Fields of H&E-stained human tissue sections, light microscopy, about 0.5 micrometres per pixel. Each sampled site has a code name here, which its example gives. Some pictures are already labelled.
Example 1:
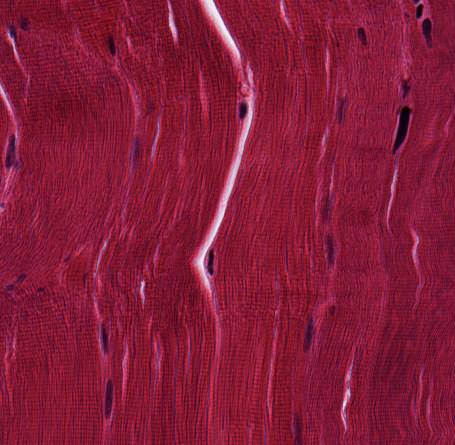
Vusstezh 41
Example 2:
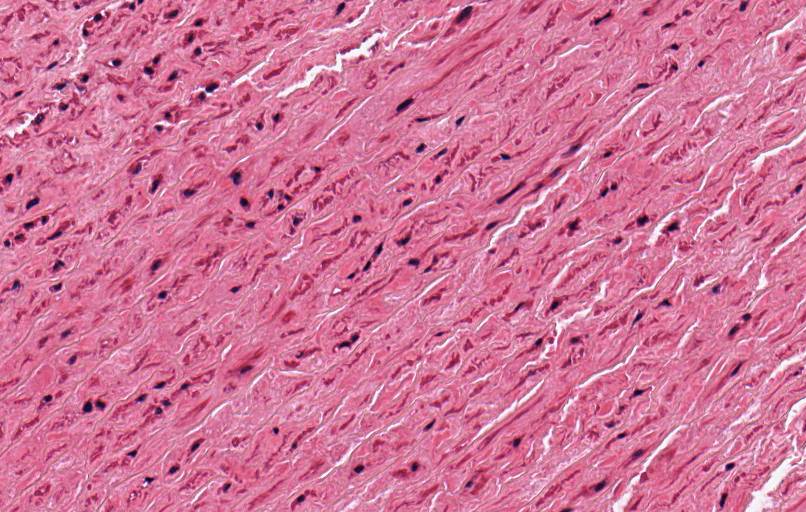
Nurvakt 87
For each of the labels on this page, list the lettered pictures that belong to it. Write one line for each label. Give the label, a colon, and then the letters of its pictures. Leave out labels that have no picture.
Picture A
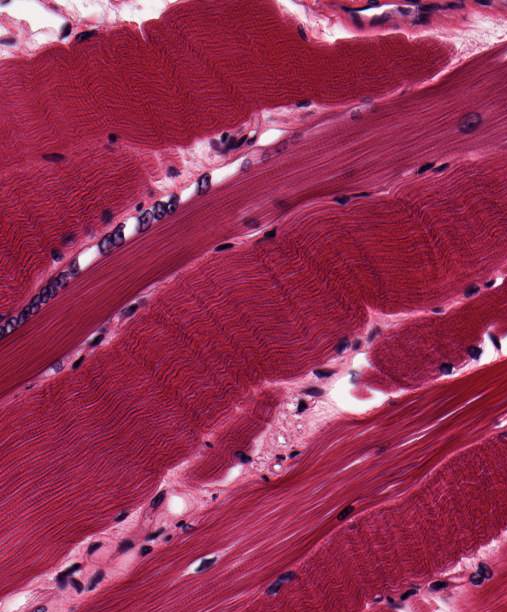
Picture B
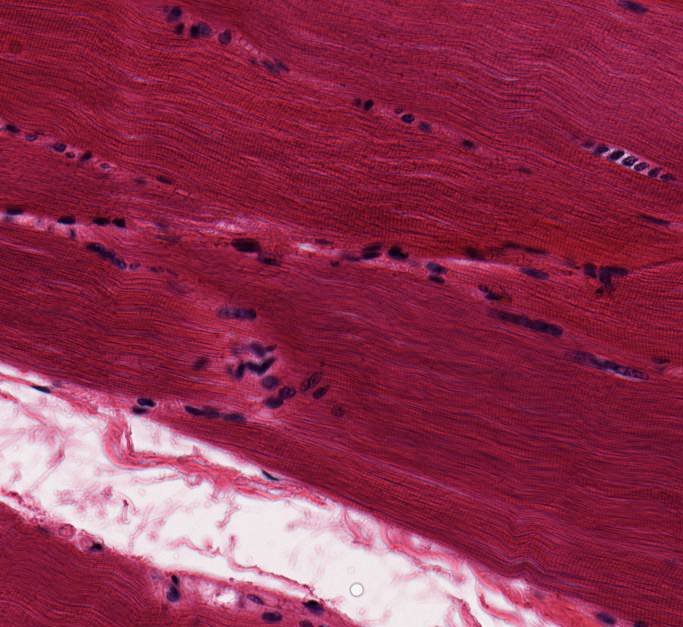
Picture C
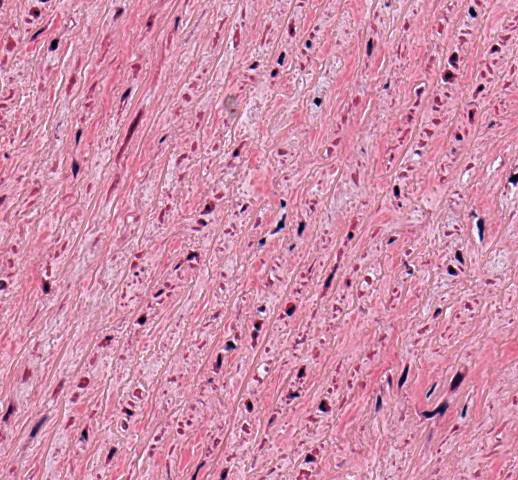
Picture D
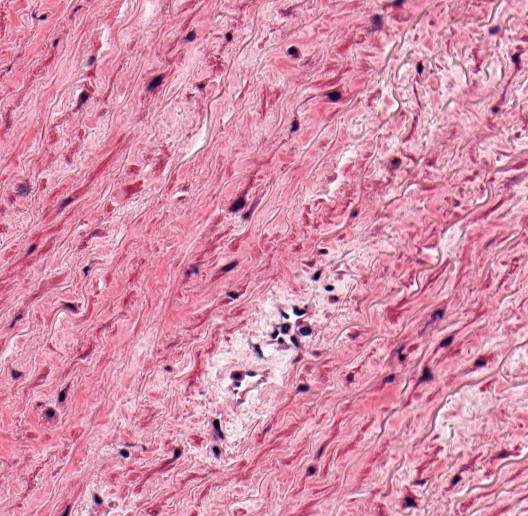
Vusstezh 41: A, B
Nurvakt 87: C, D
